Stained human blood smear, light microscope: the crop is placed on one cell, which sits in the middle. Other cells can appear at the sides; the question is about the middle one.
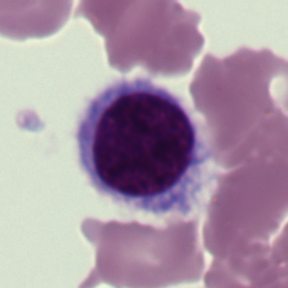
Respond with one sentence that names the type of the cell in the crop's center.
What sits at the centre of this crop is a hairy cell.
